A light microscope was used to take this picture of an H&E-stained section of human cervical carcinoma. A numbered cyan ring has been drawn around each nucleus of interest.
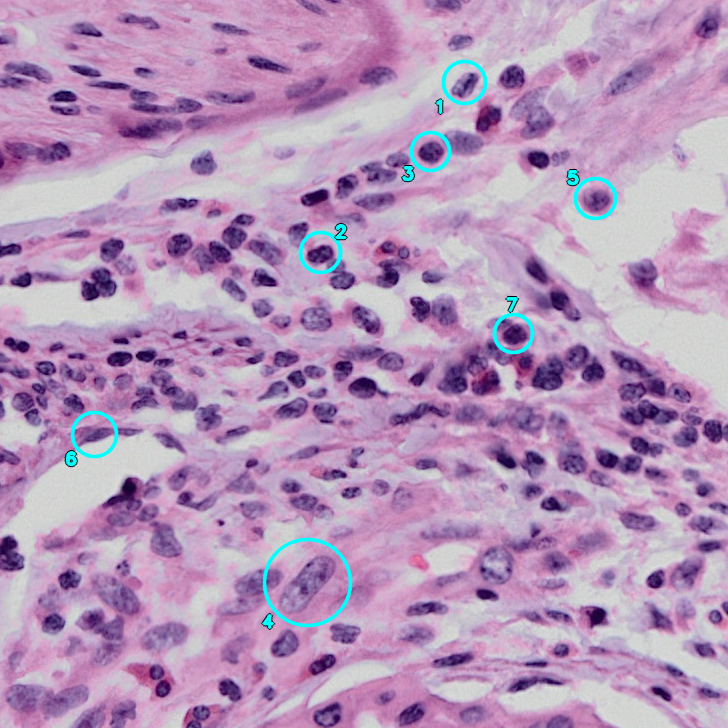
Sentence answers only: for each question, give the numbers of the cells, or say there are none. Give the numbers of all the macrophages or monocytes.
Only the cell numbered 5 is a macrophage or monocyte, and the others are something else.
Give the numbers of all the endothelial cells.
The cells to which the numbers 4 and 6 refer are endothelial cells.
